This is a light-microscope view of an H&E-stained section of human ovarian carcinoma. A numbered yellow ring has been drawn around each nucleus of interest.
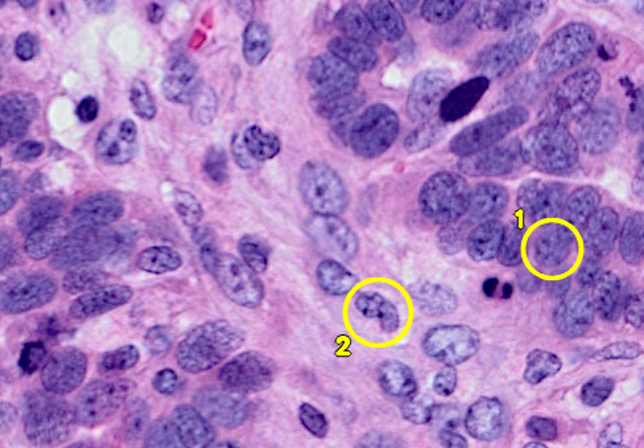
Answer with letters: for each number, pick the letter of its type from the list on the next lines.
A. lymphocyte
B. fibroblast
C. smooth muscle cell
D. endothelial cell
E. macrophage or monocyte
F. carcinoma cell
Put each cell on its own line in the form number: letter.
1: F
2: E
